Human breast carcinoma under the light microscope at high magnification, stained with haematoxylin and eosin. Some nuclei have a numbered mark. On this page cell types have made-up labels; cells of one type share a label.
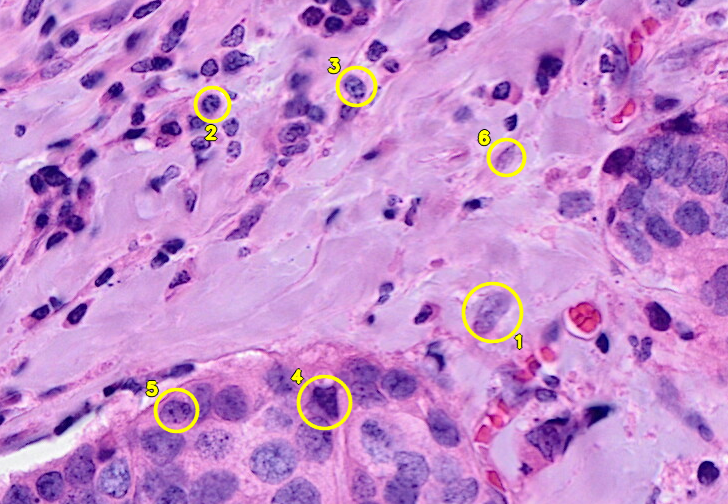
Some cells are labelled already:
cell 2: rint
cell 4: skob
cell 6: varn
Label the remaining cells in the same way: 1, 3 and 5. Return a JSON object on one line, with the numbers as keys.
{"1": "varn", "3": "rint", "5": "skob"}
